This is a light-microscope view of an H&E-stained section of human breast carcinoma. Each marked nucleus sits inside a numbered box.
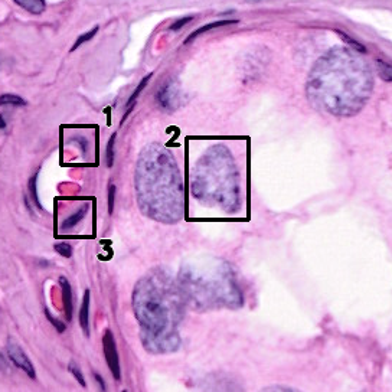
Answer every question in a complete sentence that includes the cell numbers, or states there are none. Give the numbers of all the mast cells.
Zero of the numbered cells are mast cells.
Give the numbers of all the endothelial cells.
As for the cells numbered 1 and 3, they are endothelial cells.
